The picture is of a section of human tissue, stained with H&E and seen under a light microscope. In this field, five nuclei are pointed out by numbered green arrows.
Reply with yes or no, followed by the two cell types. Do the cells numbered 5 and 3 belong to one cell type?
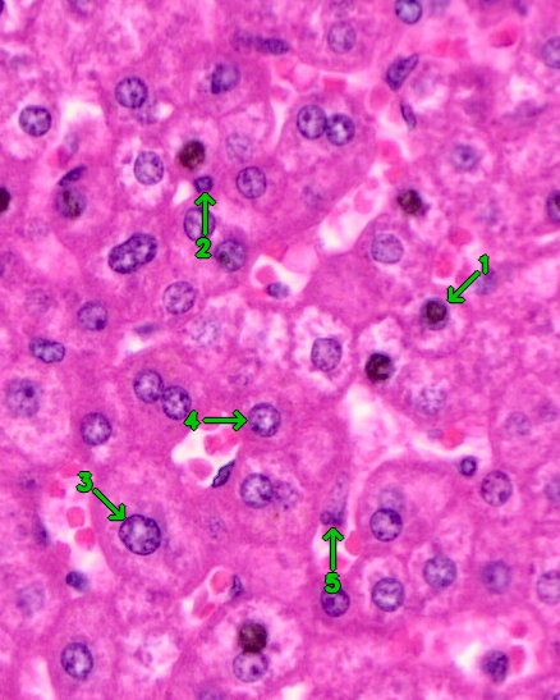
No, cell 5 is a Kupffer cell and cell 3 is a hepatocyte.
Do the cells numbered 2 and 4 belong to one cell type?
No, cell 2 is a fibroblast or stellate cell and cell 4 is a hepatocyte.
